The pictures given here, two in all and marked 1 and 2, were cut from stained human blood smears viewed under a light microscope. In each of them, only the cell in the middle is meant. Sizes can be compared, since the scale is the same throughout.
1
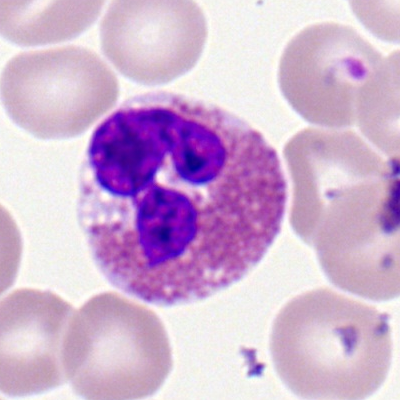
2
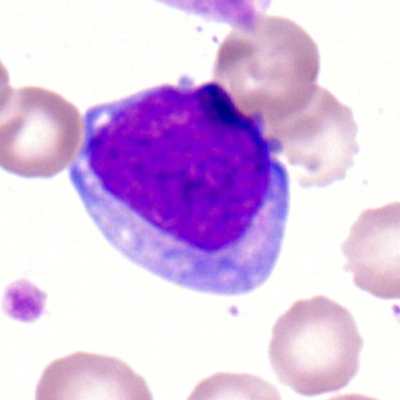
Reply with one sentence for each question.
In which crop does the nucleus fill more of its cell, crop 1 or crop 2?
In crop 2 the nucleus takes up the larger part of its cell.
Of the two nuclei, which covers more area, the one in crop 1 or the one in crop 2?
The nucleus in crop 2 is larger, with about 2 times the area of the one in crop 1.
